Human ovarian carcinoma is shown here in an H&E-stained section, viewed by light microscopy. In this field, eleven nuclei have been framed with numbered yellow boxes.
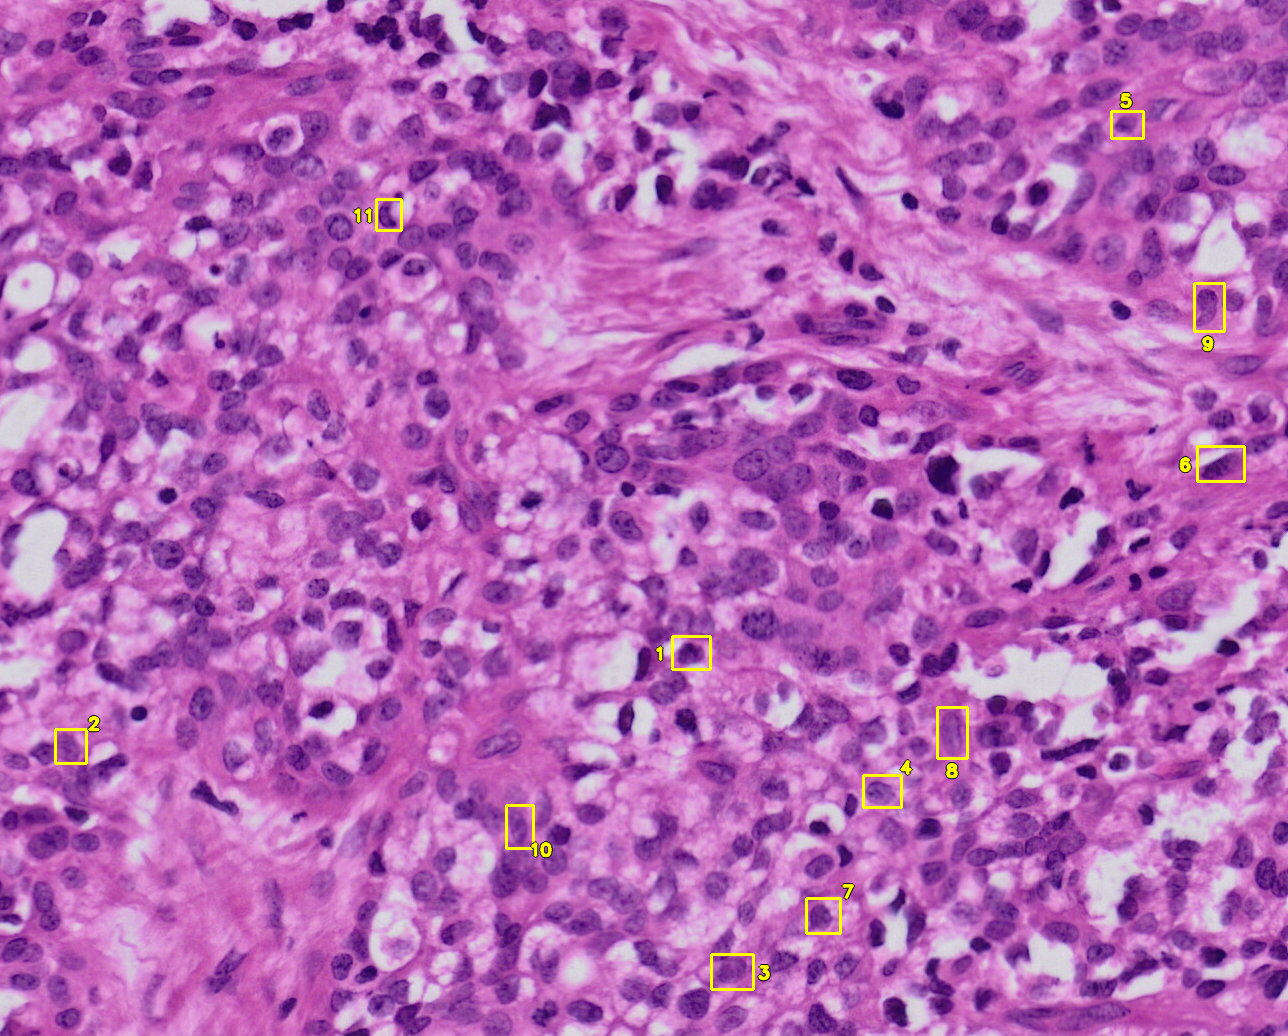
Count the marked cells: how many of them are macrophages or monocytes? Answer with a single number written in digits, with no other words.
4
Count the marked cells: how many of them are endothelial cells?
1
